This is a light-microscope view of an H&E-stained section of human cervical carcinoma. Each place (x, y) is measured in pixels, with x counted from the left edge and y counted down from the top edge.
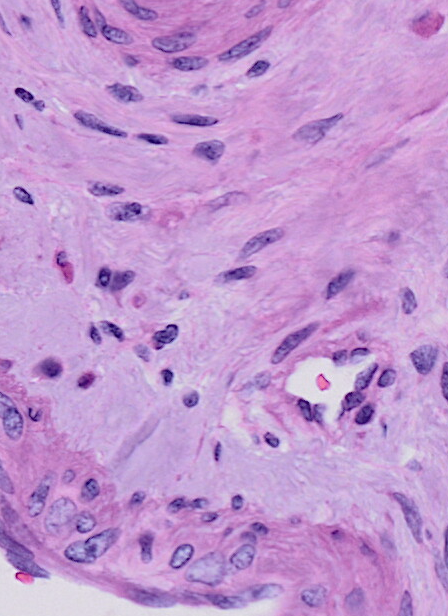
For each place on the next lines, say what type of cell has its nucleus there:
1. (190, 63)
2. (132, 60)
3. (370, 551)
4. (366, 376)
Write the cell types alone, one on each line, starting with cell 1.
smooth muscle cell
smooth muscle cell
smooth muscle cell
endothelial cell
